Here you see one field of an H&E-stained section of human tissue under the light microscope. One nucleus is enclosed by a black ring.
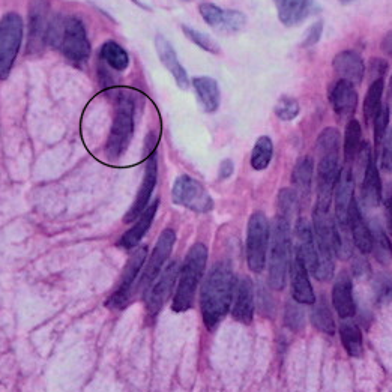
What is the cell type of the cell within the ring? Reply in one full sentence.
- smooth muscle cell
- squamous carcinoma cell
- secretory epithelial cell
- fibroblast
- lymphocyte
In this tissue section, the cell within the ring is to be classed as a secretory epithelial cell.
